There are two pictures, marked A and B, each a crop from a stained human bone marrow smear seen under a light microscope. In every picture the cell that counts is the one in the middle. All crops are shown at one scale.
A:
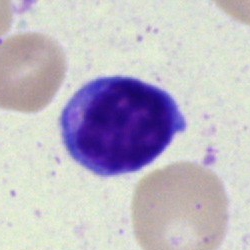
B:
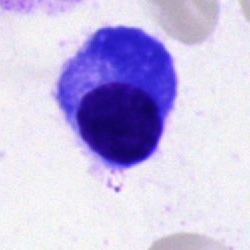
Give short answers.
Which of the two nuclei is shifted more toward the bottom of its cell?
B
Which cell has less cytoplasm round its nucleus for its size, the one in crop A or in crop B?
A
